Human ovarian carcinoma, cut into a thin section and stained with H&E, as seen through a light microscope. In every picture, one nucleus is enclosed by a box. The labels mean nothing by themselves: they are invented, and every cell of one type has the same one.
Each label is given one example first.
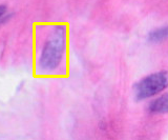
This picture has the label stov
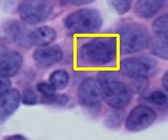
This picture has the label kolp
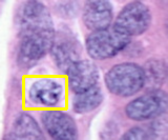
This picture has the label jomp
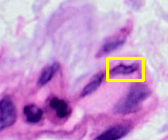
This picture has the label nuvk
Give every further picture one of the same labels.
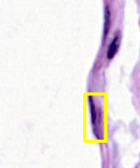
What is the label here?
nuvk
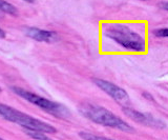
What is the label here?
stov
